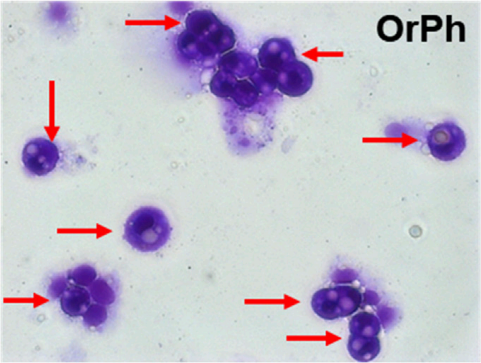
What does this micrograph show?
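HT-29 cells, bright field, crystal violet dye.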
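The cells are rounded and stained dense purple-violet. Many contain one or several clear, round vacuoles within their cytoplasm. Around some clusters lies faint, pale-violet material with small clear bubbles. No continuous sheet of flat, closely packed cells is present.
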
